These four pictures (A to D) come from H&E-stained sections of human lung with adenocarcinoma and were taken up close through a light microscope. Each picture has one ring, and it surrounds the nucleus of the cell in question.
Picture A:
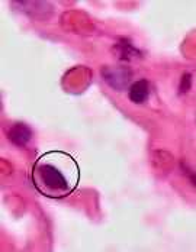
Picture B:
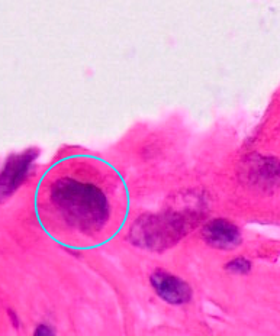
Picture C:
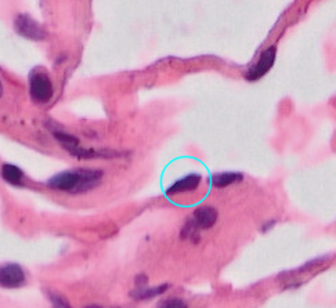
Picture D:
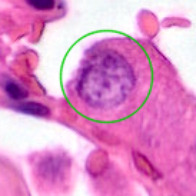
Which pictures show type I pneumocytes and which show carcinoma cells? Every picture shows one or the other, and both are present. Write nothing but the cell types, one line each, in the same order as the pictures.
type I pneumocyte
carcinoma cell
type I pneumocyte
carcinoma cell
